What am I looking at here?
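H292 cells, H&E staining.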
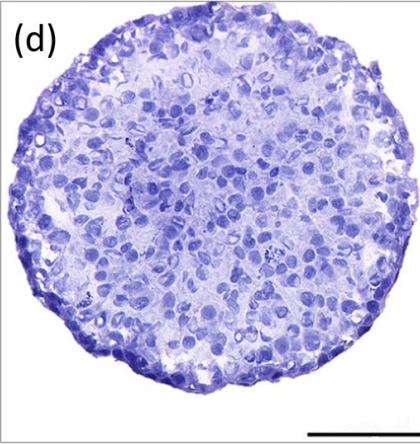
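Section through a round tumour spheroid made of tightly packed cells. Small pale clefts appear between cells near the periphery.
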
